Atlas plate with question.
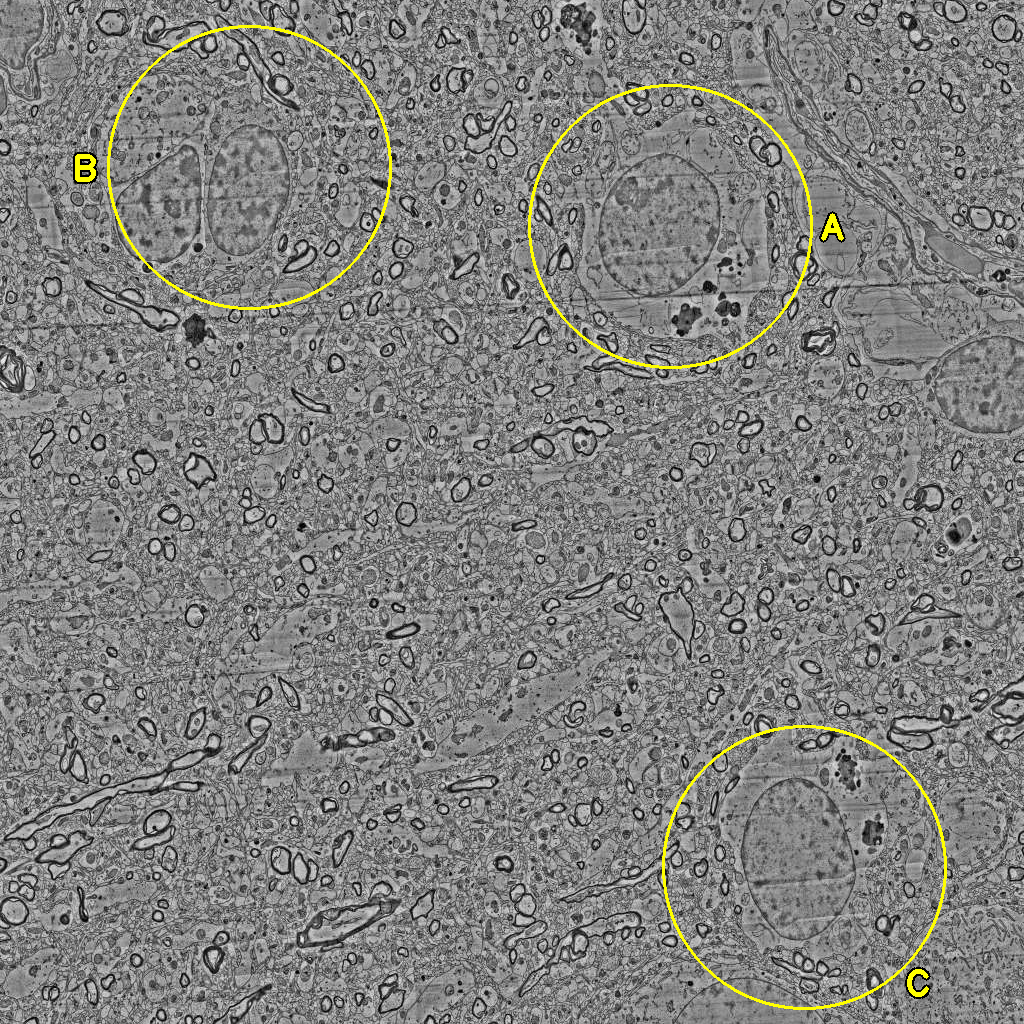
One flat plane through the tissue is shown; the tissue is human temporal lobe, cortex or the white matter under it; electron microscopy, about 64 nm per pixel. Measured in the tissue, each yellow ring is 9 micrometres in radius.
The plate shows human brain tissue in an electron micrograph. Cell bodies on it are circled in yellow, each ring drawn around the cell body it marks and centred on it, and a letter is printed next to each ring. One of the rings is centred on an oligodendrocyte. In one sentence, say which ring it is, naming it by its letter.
It is ring B.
